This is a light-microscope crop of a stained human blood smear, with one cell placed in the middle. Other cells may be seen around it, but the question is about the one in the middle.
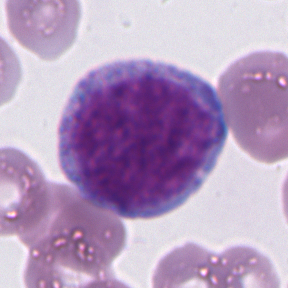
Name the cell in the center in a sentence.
The cell at the central position in this crop is a promyelocyte.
